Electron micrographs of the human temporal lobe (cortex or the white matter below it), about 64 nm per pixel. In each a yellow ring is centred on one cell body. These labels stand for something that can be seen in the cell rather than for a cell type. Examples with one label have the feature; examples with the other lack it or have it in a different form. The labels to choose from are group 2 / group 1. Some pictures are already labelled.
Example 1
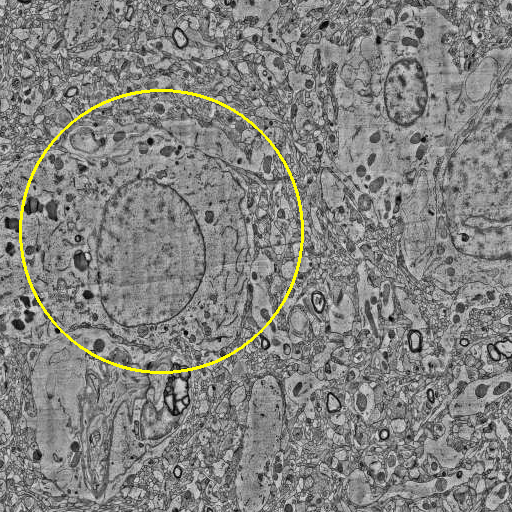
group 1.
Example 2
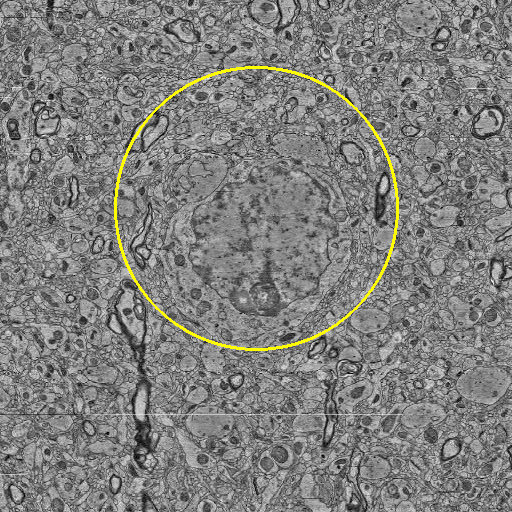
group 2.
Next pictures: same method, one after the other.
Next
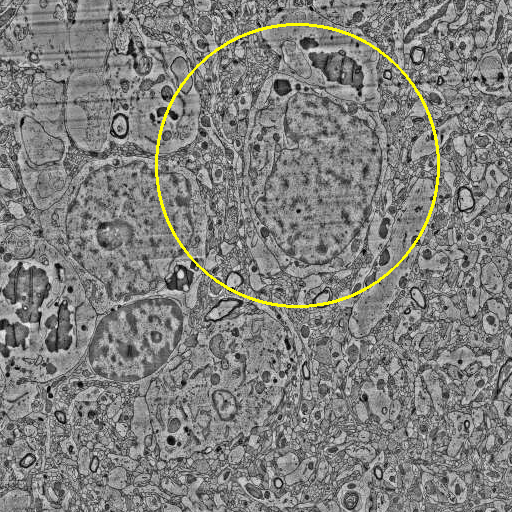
group 1.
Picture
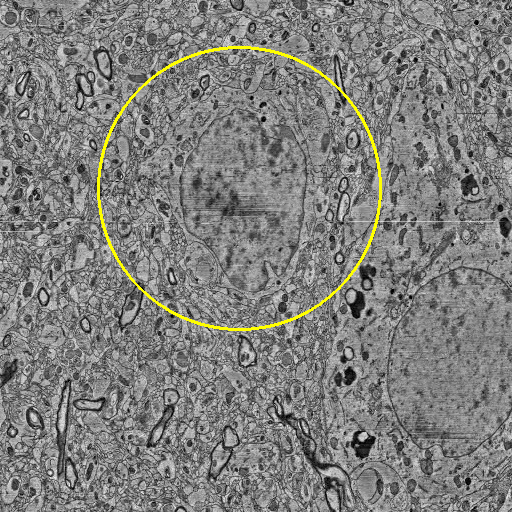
group 1.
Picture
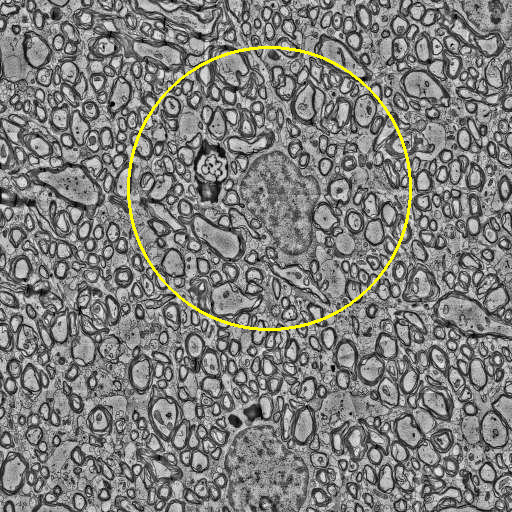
group 1.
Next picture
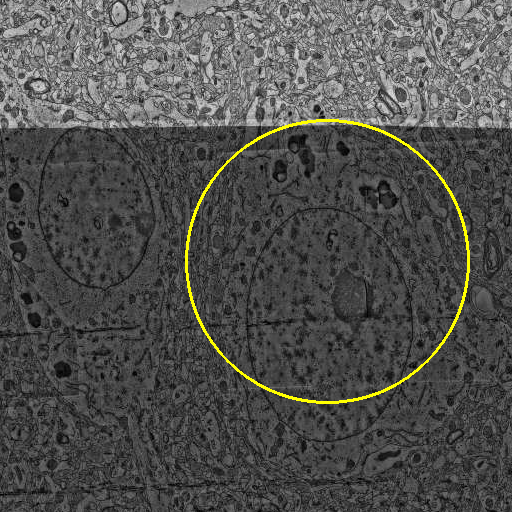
group 2.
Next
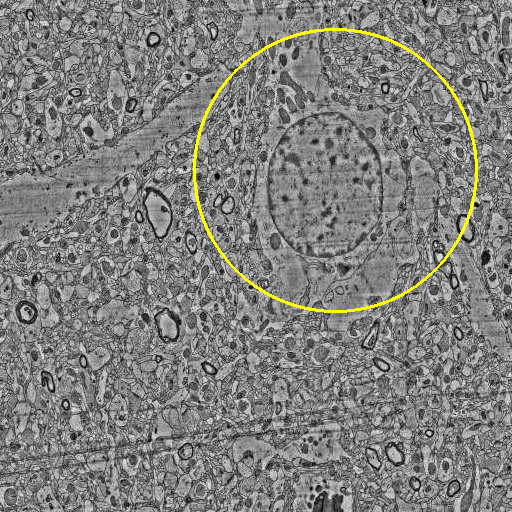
group 1.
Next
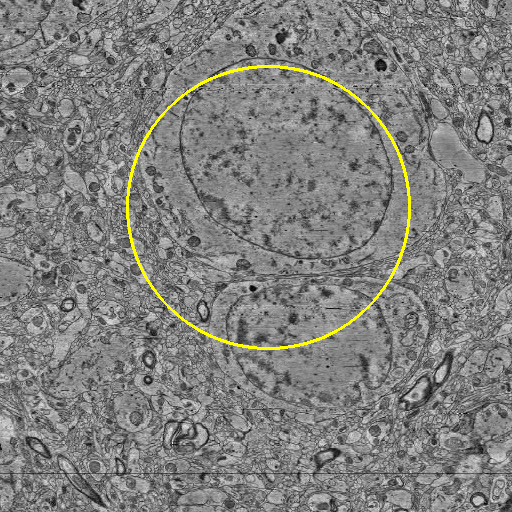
group 1.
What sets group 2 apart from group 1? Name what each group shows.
Seen in group 2: nucleolus seen; seen in group 1: no nucleolus seen.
